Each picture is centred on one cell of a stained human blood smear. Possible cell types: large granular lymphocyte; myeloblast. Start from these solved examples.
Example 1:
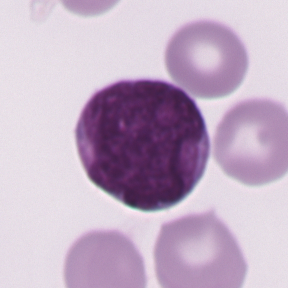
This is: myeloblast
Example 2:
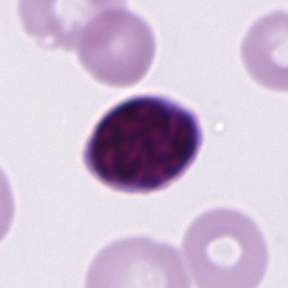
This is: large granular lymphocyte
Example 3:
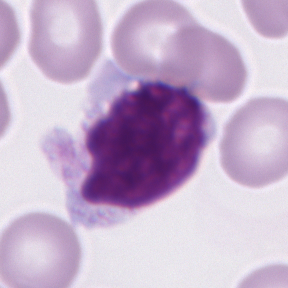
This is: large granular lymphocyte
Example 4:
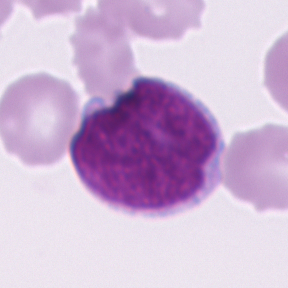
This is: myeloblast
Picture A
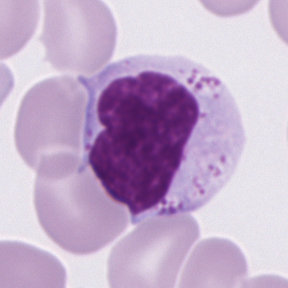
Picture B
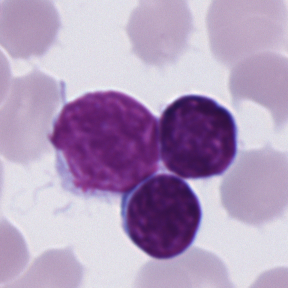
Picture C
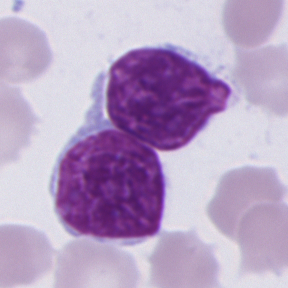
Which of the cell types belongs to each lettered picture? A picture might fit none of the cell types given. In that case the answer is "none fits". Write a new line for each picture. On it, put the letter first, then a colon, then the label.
A: large granular lymphocyte
B: myeloblast
C: myeloblast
